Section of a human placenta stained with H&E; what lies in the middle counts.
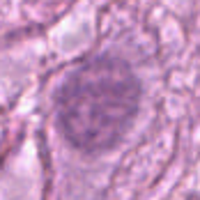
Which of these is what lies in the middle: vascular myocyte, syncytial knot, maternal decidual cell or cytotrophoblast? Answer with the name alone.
maternal decidual cell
